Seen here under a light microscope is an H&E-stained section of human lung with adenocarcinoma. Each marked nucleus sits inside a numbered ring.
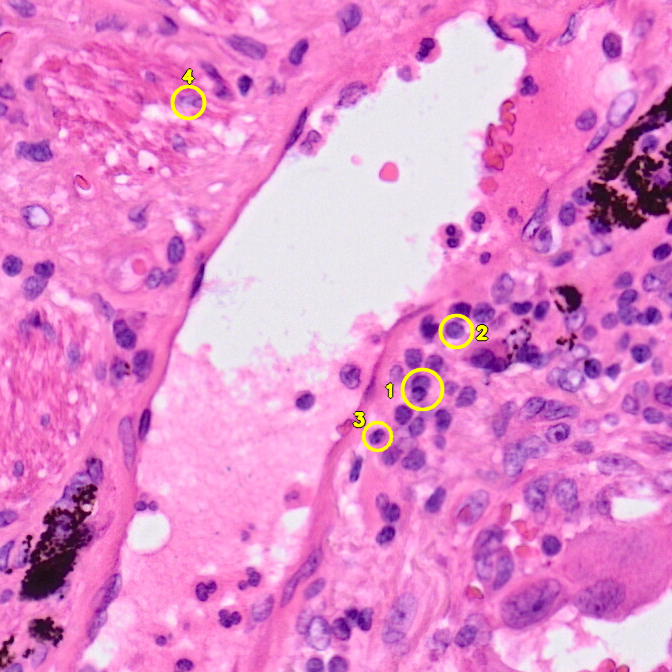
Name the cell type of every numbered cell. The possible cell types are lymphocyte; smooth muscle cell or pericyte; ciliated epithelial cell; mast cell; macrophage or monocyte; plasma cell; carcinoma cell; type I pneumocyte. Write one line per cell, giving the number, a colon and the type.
1: lymphocyte
2: lymphocyte
3: lymphocyte
4: smooth muscle cell or pericyte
